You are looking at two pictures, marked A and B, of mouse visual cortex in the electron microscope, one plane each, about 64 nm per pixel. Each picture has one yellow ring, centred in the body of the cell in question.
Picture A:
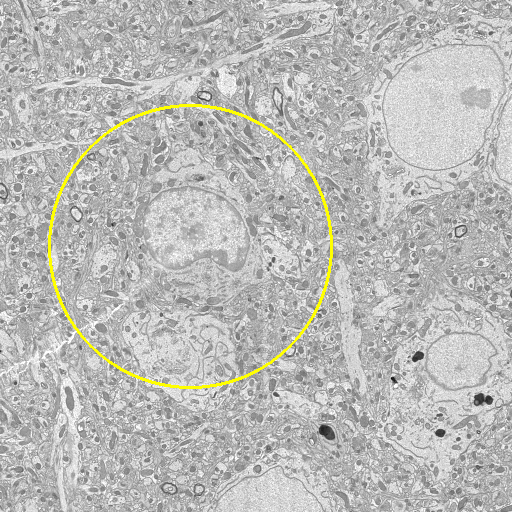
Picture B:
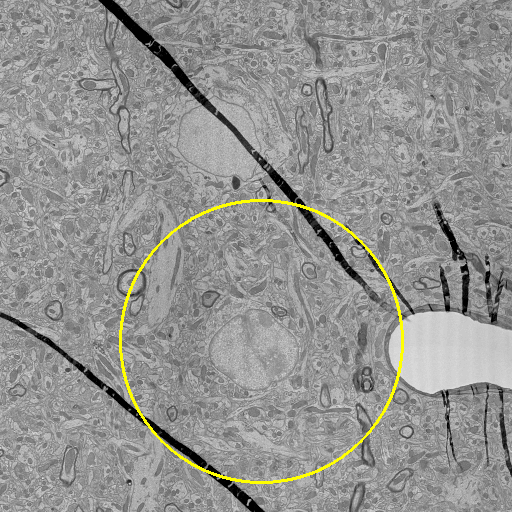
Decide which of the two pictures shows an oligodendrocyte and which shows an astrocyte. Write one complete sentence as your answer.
It is picture A that shows an oligodendrocyte, and picture B that shows an astrocyte.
